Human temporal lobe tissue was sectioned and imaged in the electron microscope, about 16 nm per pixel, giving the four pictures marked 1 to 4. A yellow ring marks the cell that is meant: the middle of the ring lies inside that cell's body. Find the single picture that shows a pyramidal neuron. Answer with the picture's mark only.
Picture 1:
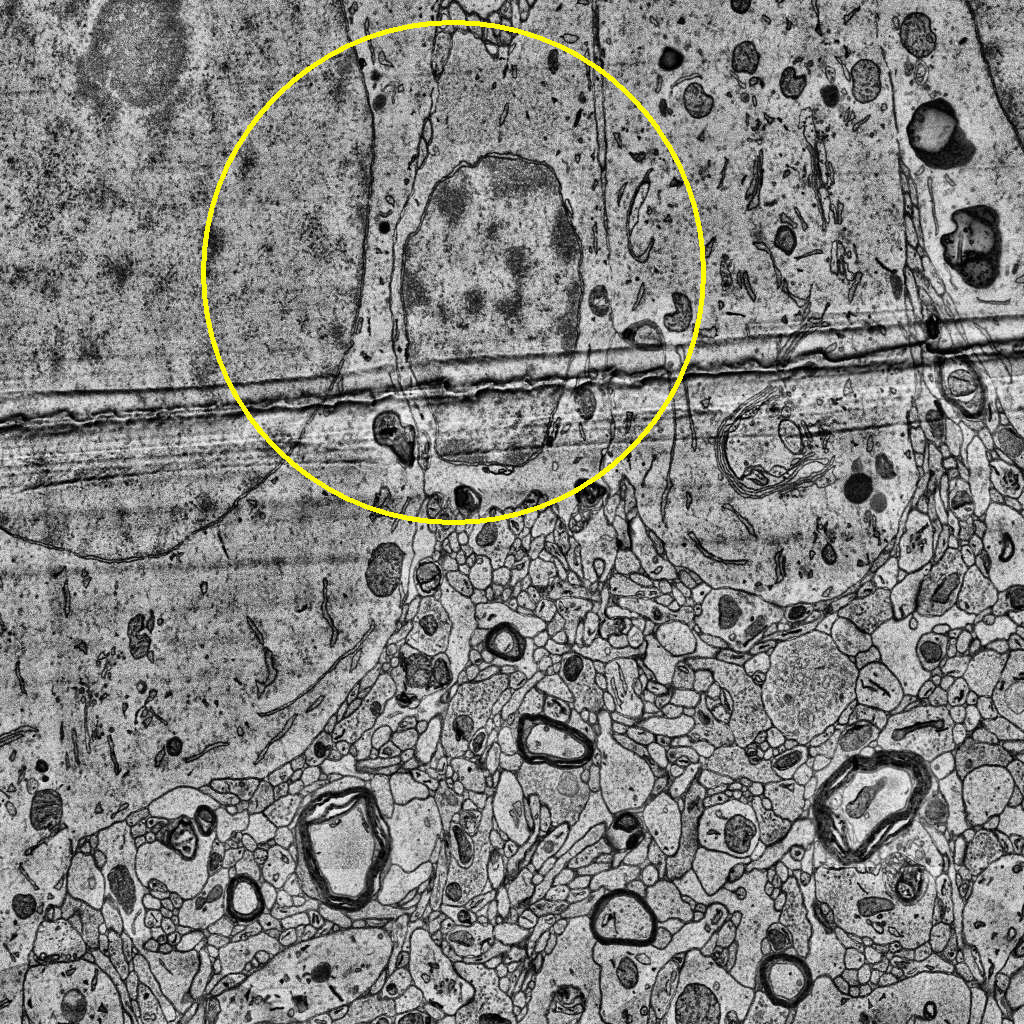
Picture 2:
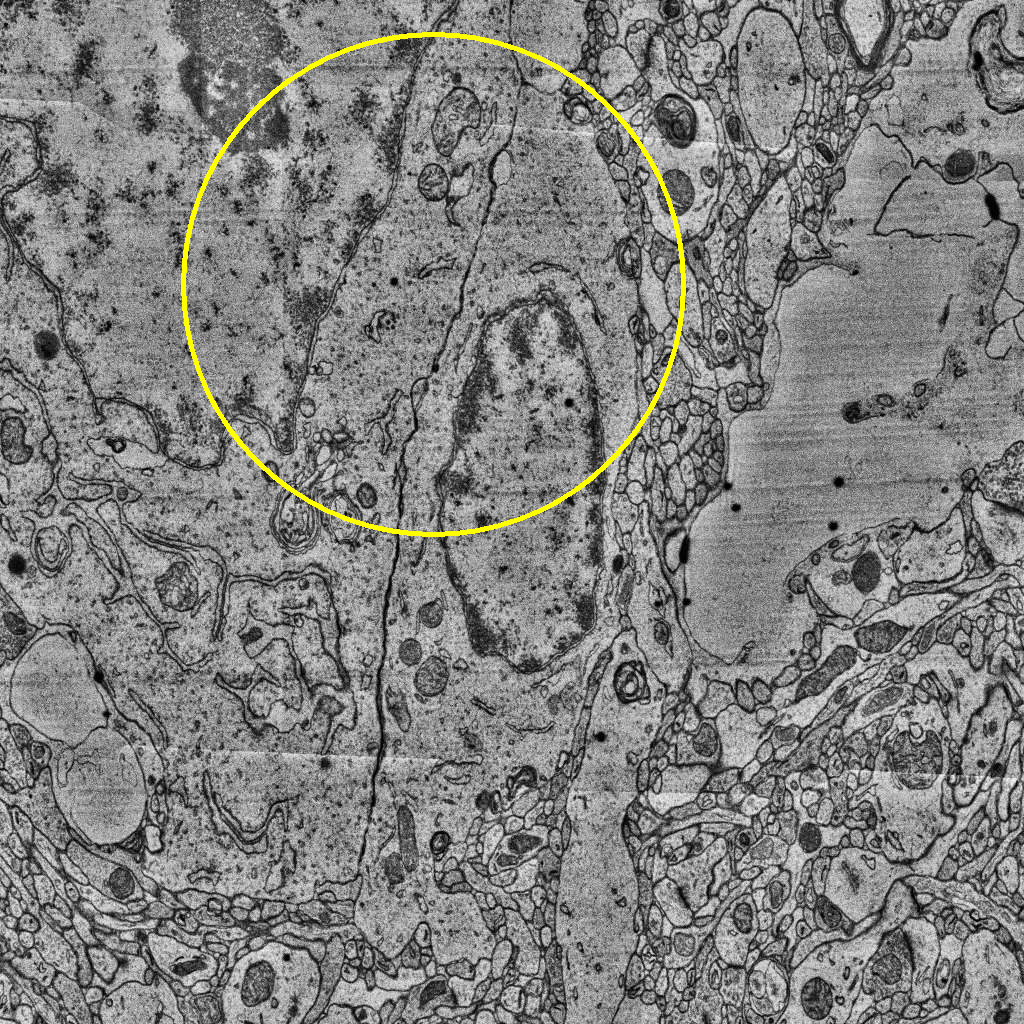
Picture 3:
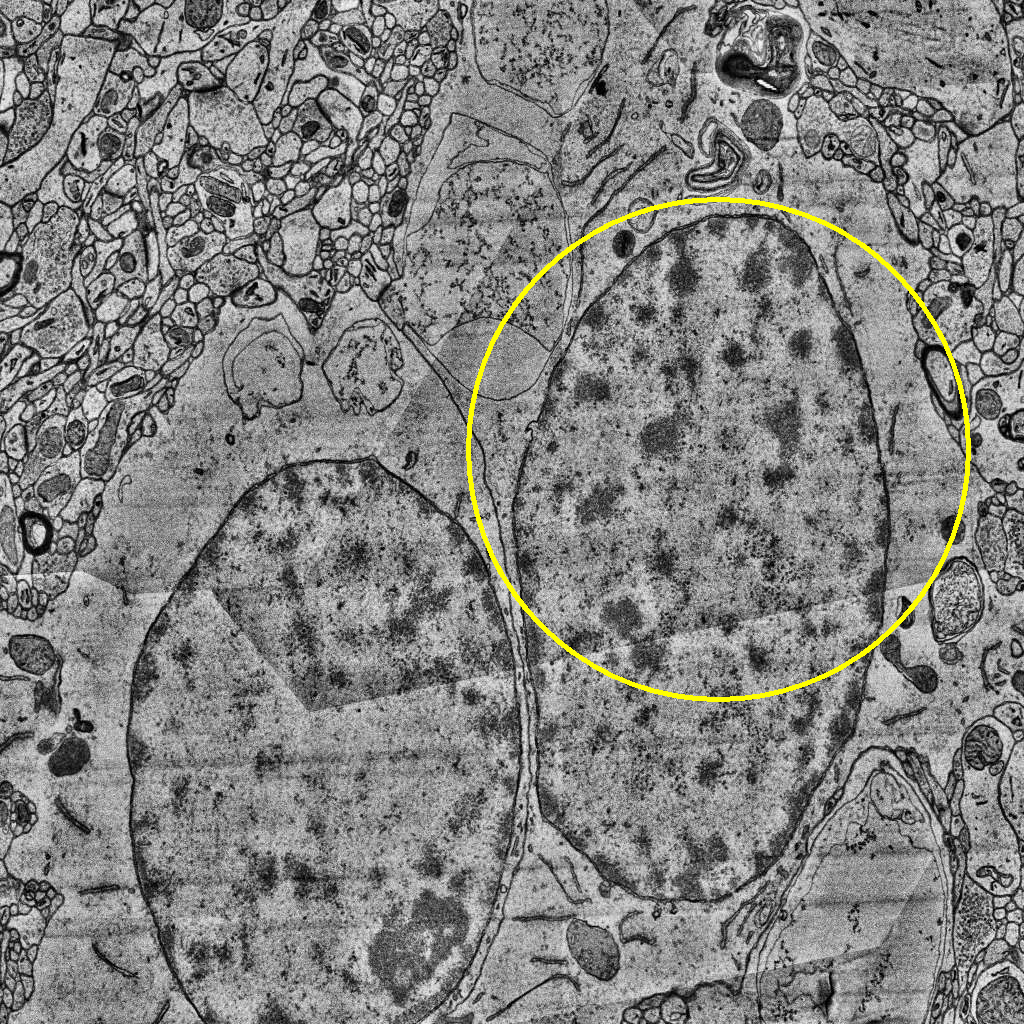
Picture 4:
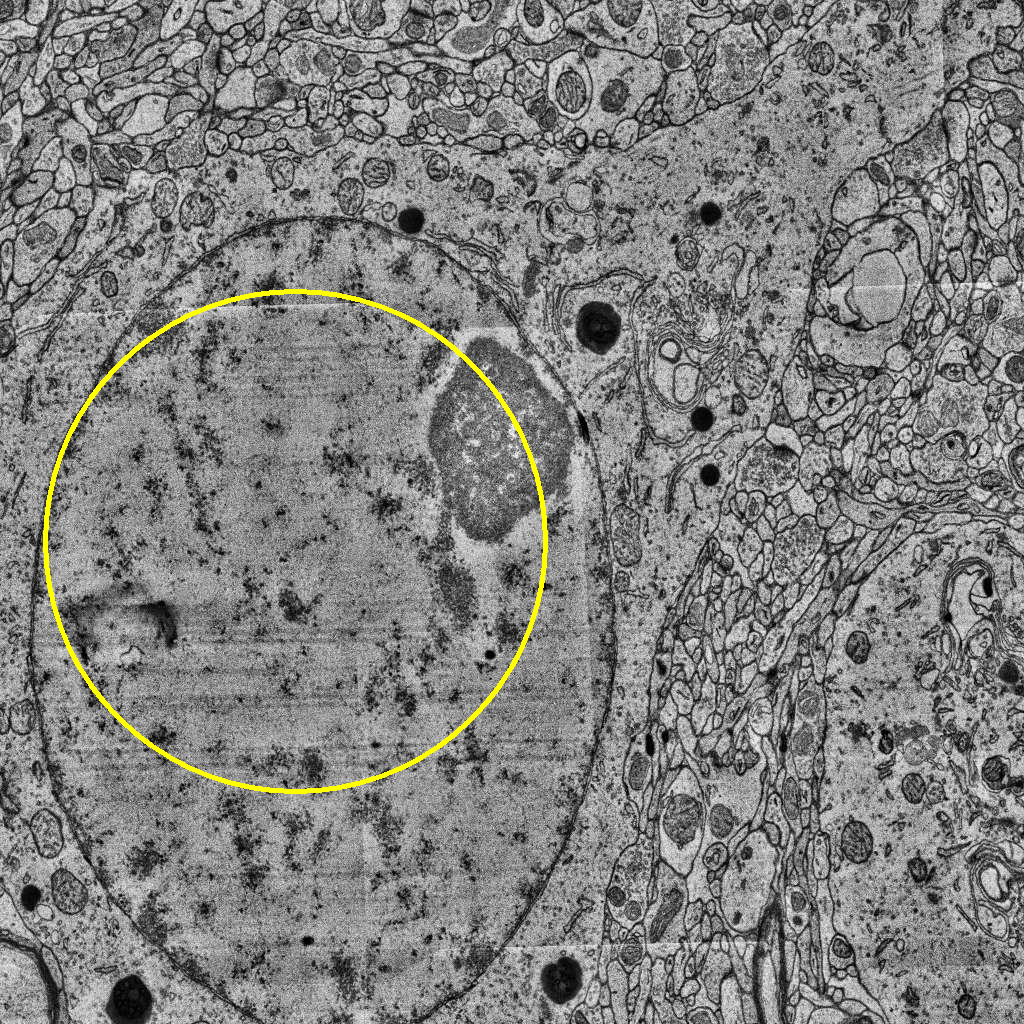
4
